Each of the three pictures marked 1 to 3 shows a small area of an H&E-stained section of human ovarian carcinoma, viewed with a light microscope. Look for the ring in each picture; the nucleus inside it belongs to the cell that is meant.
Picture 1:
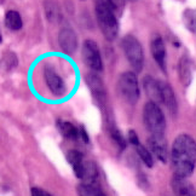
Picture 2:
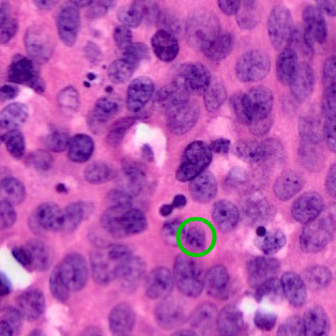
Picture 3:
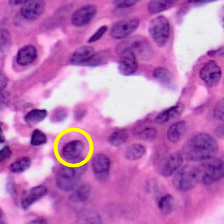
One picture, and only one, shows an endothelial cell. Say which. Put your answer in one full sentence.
The cell in picture 2 is the endothelial cell.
